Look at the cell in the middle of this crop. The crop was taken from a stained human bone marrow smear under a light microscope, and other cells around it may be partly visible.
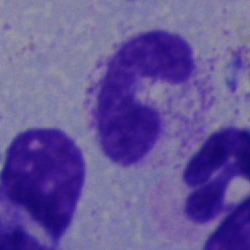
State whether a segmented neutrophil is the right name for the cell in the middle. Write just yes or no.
no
